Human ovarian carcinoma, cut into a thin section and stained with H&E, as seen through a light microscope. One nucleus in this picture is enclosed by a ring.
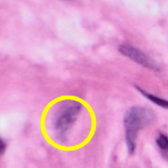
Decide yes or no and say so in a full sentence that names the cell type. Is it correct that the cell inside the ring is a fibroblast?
Yes, the identification stands: the cell inside the ring is a fibroblast.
